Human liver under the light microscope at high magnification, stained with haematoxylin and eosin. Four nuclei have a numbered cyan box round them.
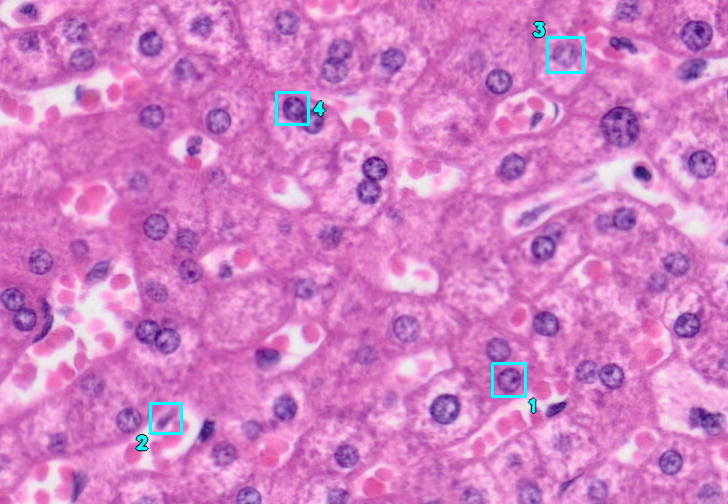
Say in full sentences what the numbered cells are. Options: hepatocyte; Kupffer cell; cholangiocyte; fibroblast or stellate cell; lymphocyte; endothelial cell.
Cell 1 is a hepatocyte, cell 2 is a Kupffer cell, cell 3 is a hepatocyte and cell 4 is a hepatocyte.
